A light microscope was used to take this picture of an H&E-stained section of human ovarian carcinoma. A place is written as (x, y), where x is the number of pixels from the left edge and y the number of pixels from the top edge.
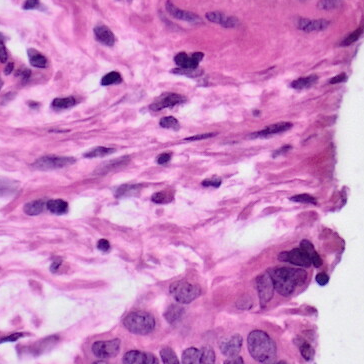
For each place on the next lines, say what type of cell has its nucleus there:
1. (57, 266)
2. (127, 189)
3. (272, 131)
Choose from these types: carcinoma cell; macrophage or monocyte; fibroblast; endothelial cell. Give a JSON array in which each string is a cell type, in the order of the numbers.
["macrophage or monocyte", "fibroblast", "fibroblast"]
